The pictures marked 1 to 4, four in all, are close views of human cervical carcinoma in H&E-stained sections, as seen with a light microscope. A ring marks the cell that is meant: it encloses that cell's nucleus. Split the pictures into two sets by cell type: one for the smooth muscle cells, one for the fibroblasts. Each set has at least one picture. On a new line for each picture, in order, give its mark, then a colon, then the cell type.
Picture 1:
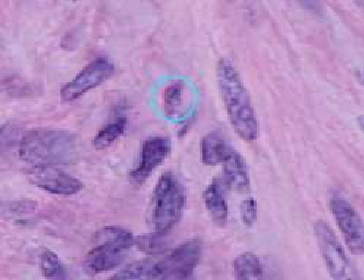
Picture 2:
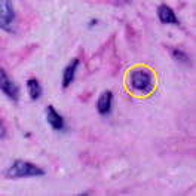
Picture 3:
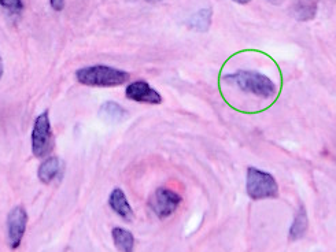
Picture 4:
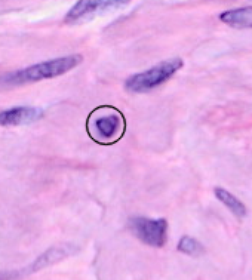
1: smooth muscle cell
2: smooth muscle cell
3: fibroblast
4: fibroblast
